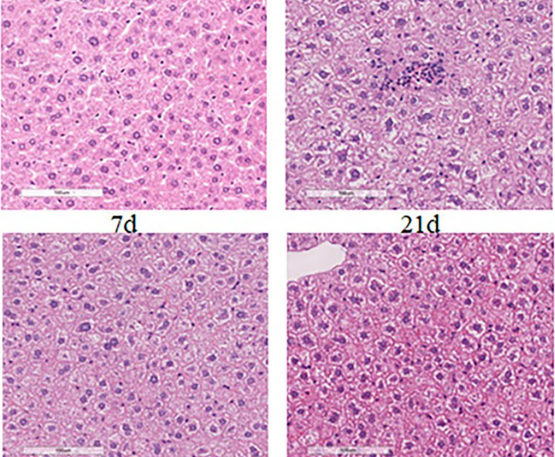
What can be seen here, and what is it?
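Liver parenchyma made of hepatocytes, large polygonal cells with pink, finely granular cytoplasm and round, centrally placed purple nuclei, arranged in tightly packed sheets with narrow sinusoidal spaces between them. In one field a small cluster of small, dark, round nuclei lies among the hepatocytes.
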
